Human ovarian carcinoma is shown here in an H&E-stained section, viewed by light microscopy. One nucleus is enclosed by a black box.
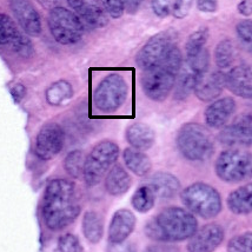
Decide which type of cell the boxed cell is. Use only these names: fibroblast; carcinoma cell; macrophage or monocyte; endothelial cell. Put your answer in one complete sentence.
In the context of this tissue, the boxed cell is a carcinoma cell.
